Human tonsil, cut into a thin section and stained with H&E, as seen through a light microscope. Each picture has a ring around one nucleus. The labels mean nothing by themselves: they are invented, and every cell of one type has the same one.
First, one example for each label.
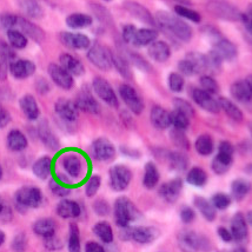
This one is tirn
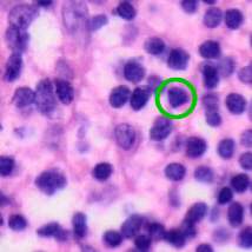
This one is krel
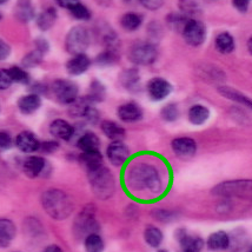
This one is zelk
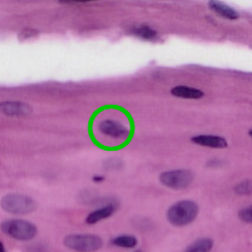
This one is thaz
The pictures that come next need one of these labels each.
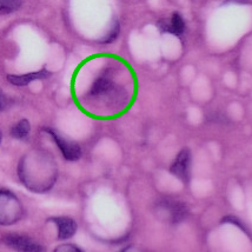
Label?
thaz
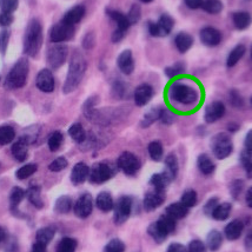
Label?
tirn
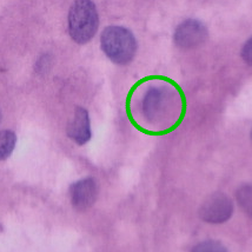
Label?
thaz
